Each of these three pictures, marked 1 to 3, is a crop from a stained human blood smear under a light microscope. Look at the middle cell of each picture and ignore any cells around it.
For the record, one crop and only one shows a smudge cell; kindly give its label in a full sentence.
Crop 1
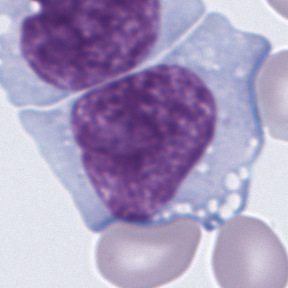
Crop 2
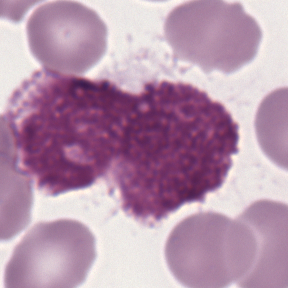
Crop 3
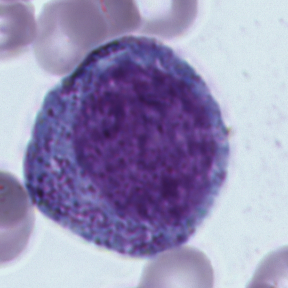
Among the crops, only crop 2 contains a smudge cell.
